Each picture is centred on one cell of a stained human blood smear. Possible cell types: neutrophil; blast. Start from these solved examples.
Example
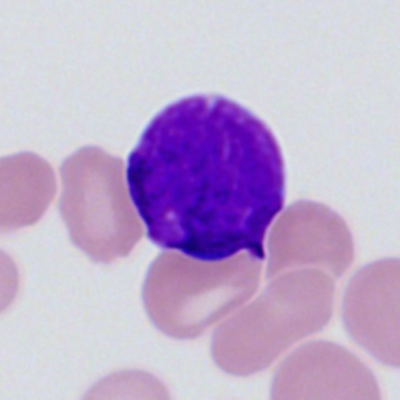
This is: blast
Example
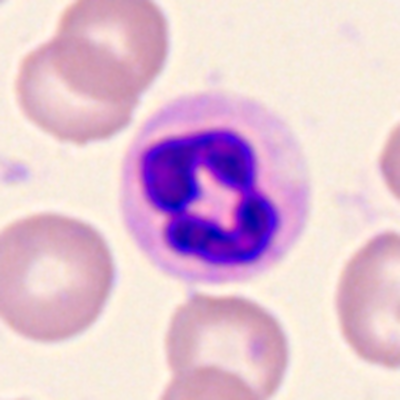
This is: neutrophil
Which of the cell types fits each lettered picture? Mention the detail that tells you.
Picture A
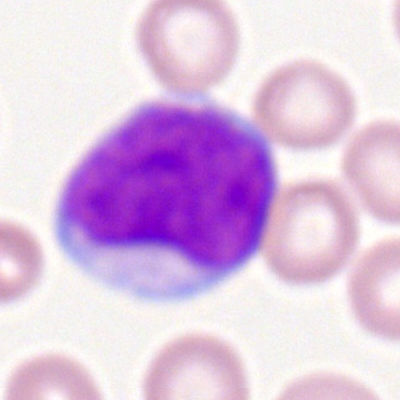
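blast. Reason: The nucleus fills most of the cell.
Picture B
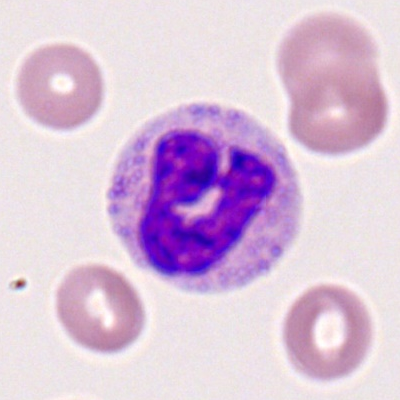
neutrophil. Reason: The nucleus is a single curved mass bent into a U shape, with its notch opening toward the top.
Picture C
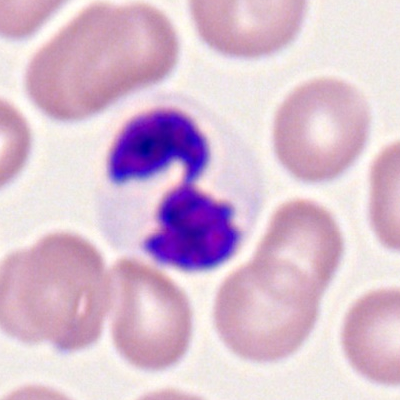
neutrophil. Reason: The nucleus is split into two separate lobes.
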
